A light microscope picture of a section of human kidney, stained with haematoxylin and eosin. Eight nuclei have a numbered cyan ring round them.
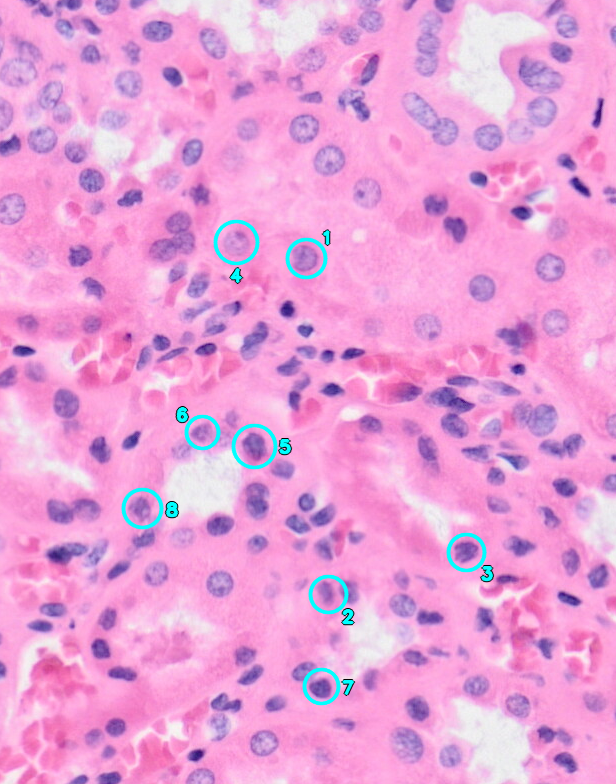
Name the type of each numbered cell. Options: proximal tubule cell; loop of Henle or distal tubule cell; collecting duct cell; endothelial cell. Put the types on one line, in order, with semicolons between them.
proximal tubule cell; loop of Henle or distal tubule cell; proximal tubule cell; proximal tubule cell; loop of Henle or distal tubule cell; loop of Henle or distal tubule cell; loop of Henle or distal tubule cell; loop of Henle or distal tubule cell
